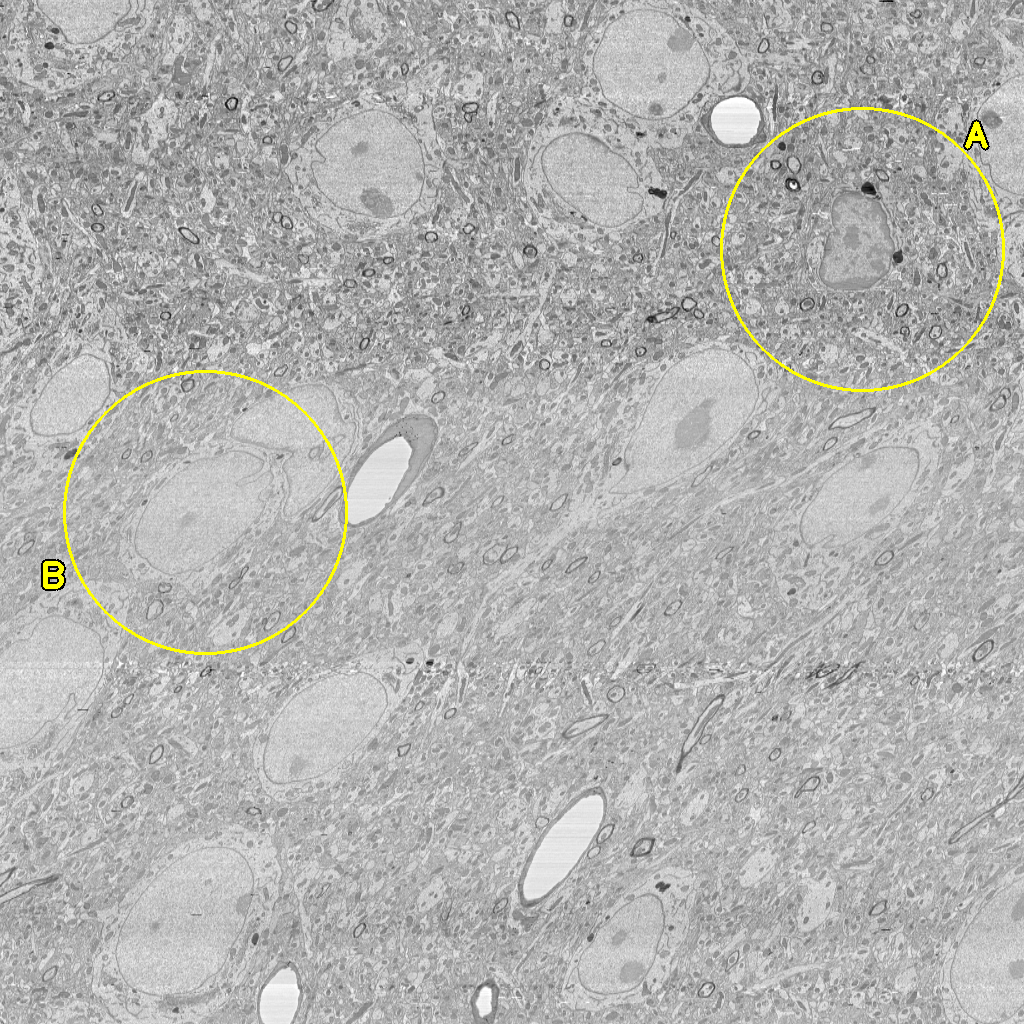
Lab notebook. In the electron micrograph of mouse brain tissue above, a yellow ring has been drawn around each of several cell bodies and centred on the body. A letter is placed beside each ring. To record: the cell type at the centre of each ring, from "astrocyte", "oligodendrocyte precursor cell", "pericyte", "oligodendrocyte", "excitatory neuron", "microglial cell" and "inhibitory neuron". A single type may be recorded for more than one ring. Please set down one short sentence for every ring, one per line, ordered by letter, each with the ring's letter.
The centre of ring A is occupied by a microglial cell.
The centre of ring B is occupied by an excitatory neuron.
